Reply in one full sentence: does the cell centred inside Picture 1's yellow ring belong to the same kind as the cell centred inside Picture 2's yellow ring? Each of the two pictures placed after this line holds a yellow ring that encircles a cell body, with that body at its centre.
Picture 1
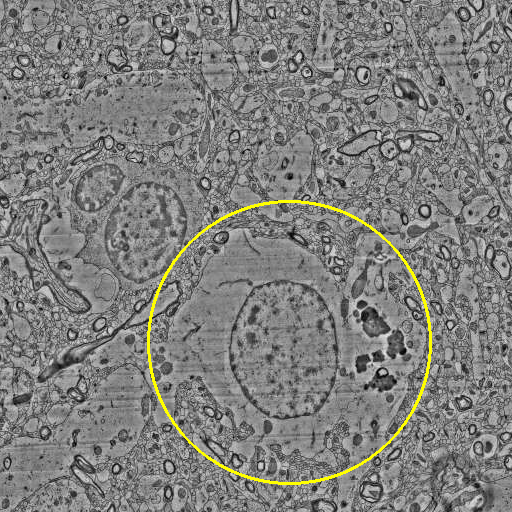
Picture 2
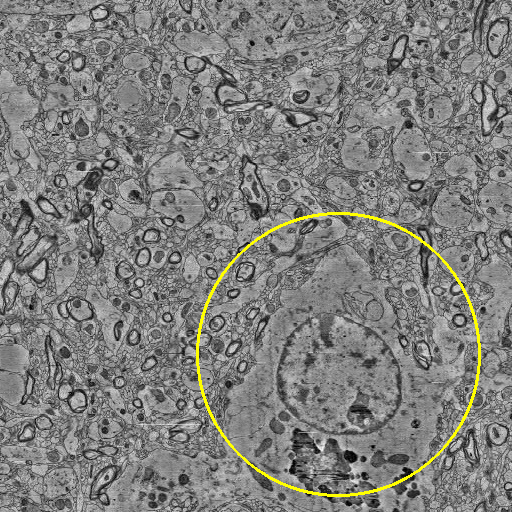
Yes, the ring-centred cells in Picture 1 and Picture 2 are of one and the same kind.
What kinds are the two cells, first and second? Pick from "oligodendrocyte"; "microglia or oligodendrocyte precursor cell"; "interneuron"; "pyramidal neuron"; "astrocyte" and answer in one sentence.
In the first picture and in the second, the ring is centred on an astrocyte.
